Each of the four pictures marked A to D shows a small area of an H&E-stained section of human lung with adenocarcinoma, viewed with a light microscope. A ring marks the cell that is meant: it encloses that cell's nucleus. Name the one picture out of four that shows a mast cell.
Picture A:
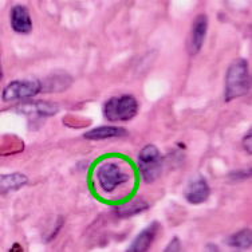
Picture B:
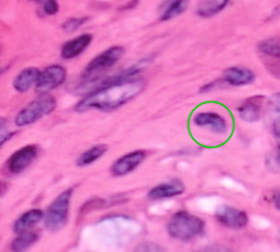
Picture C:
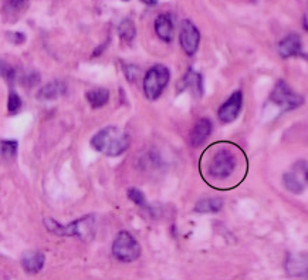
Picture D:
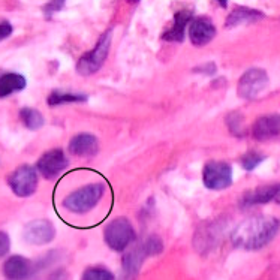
B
